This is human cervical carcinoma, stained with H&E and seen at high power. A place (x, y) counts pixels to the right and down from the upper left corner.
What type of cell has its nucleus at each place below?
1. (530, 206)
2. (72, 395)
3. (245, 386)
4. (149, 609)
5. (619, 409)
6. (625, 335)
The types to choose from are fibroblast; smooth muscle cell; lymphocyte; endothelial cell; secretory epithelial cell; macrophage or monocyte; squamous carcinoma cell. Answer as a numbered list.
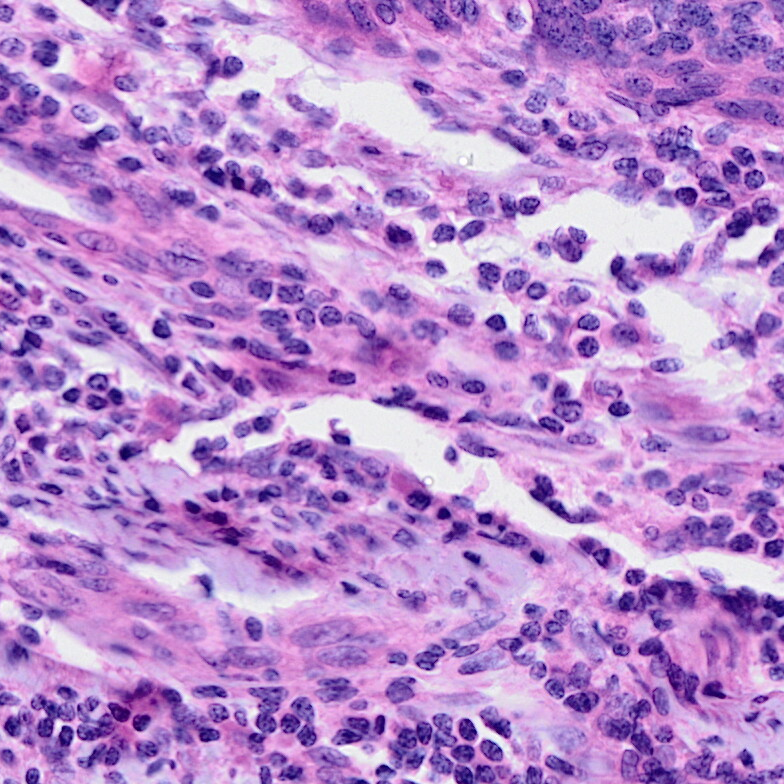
1. lymphocyte
2. lymphocyte
3. lymphocyte
4. endothelial cell
5. lymphocyte
6. macrophage or monocyte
